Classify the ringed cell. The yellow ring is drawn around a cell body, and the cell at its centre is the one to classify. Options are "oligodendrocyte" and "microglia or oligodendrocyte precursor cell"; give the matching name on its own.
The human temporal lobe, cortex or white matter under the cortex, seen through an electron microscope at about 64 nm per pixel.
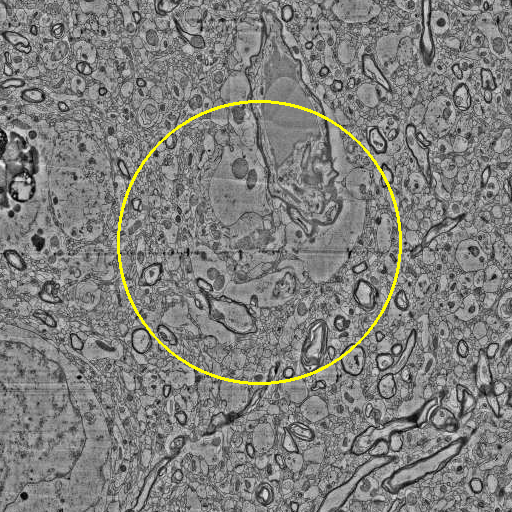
microglia or oligodendrocyte precursor cell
